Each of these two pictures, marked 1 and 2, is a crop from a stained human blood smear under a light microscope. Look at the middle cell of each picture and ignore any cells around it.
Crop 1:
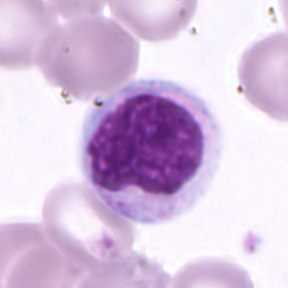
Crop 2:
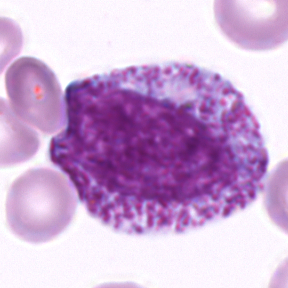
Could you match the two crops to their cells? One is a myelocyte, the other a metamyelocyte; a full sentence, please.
What is seen in crop 1 is a metamyelocyte; what is seen in crop 2 is a myelocyte.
